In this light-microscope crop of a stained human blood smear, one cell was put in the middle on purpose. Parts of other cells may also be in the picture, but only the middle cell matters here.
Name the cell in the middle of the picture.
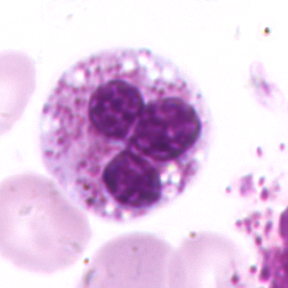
eosinophil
